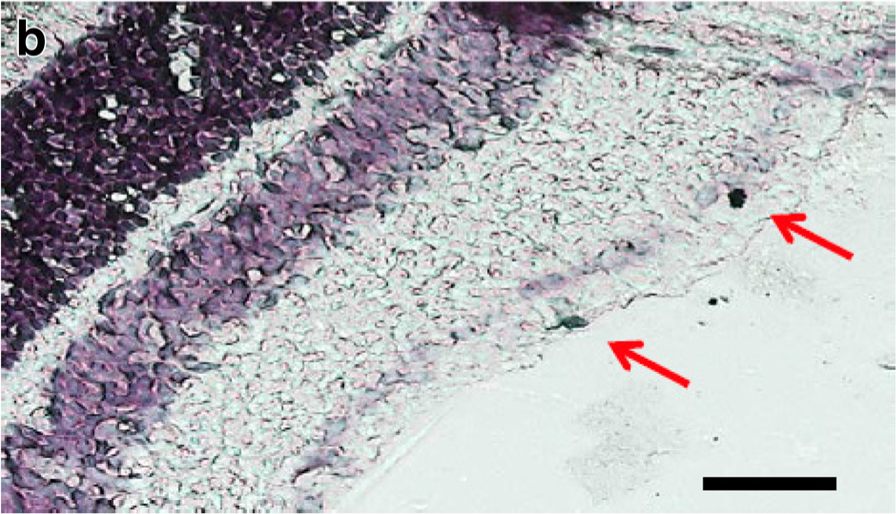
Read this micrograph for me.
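A section of retina shows two densely packed, purple-stained nuclear layers at the upper left, separated by a thin pale band, followed by a wide pale, finely fibrous plexiform layer. At the inner edge bordering the empty space lie sparse cells of the ganglion cell layer, among which a few small cell bodies carry dark brown-black stain, one intensely and one more faintly.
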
